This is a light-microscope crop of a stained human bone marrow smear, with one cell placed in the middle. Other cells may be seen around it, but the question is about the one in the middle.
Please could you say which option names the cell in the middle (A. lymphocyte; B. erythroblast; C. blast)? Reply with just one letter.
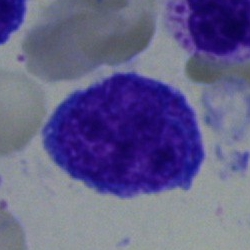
C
